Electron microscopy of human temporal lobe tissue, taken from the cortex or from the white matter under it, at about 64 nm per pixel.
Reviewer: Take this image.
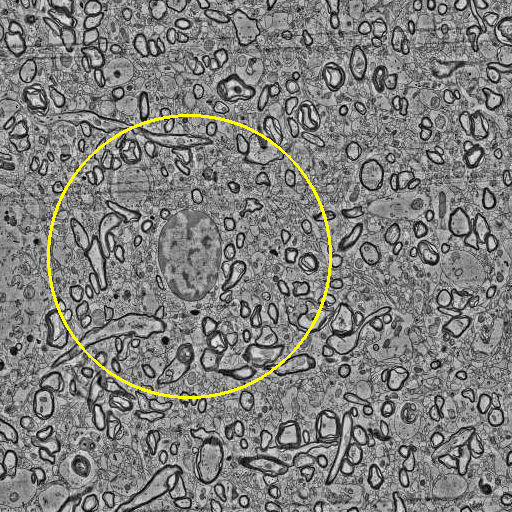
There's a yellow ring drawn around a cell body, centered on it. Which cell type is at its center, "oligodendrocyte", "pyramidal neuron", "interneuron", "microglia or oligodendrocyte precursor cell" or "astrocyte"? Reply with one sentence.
At the center of the yellow ring is a microglial cell or oligodendrocyte precursor cell.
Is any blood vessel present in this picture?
No, there is no blood vessel in the image.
